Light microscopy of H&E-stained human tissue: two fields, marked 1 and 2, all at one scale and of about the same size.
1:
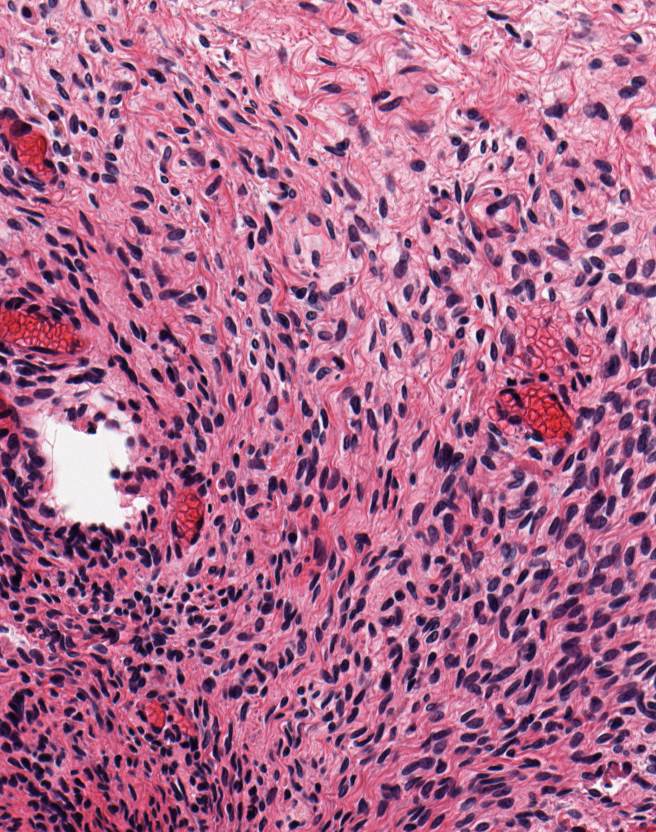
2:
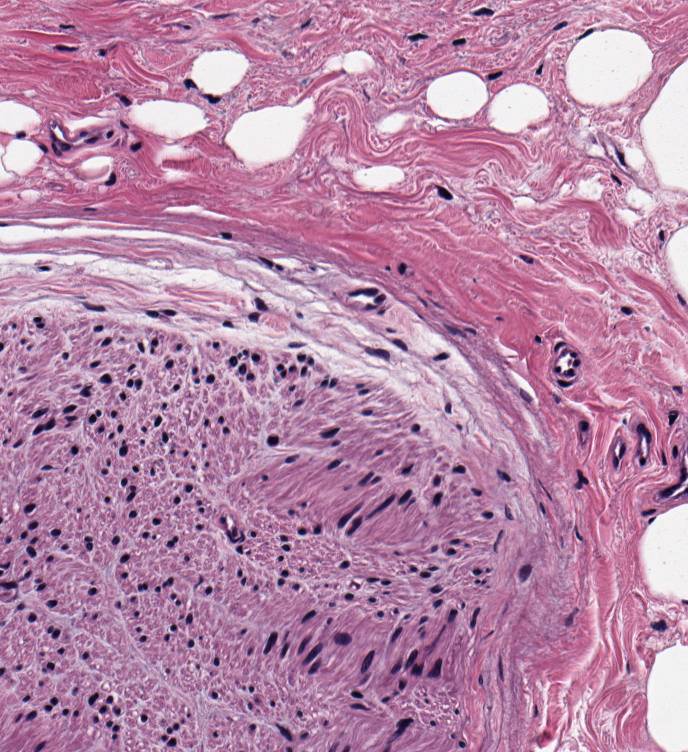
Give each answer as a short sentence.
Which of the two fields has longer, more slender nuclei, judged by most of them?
It is field 1 whose nuclei are the more elongated.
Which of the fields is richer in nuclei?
There are more nuclei in field 1.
